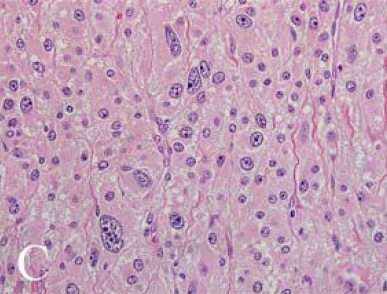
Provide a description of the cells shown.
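Tumor cells with marked cytologic atypia are arranged in sheets and loose nests with pink, finely granular cytoplasm. Nuclei vary considerably in size and shape, several being much enlarged and irregular. Many nuclei show prominent nucleoli, and delicate pink septa run between groups of cells.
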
